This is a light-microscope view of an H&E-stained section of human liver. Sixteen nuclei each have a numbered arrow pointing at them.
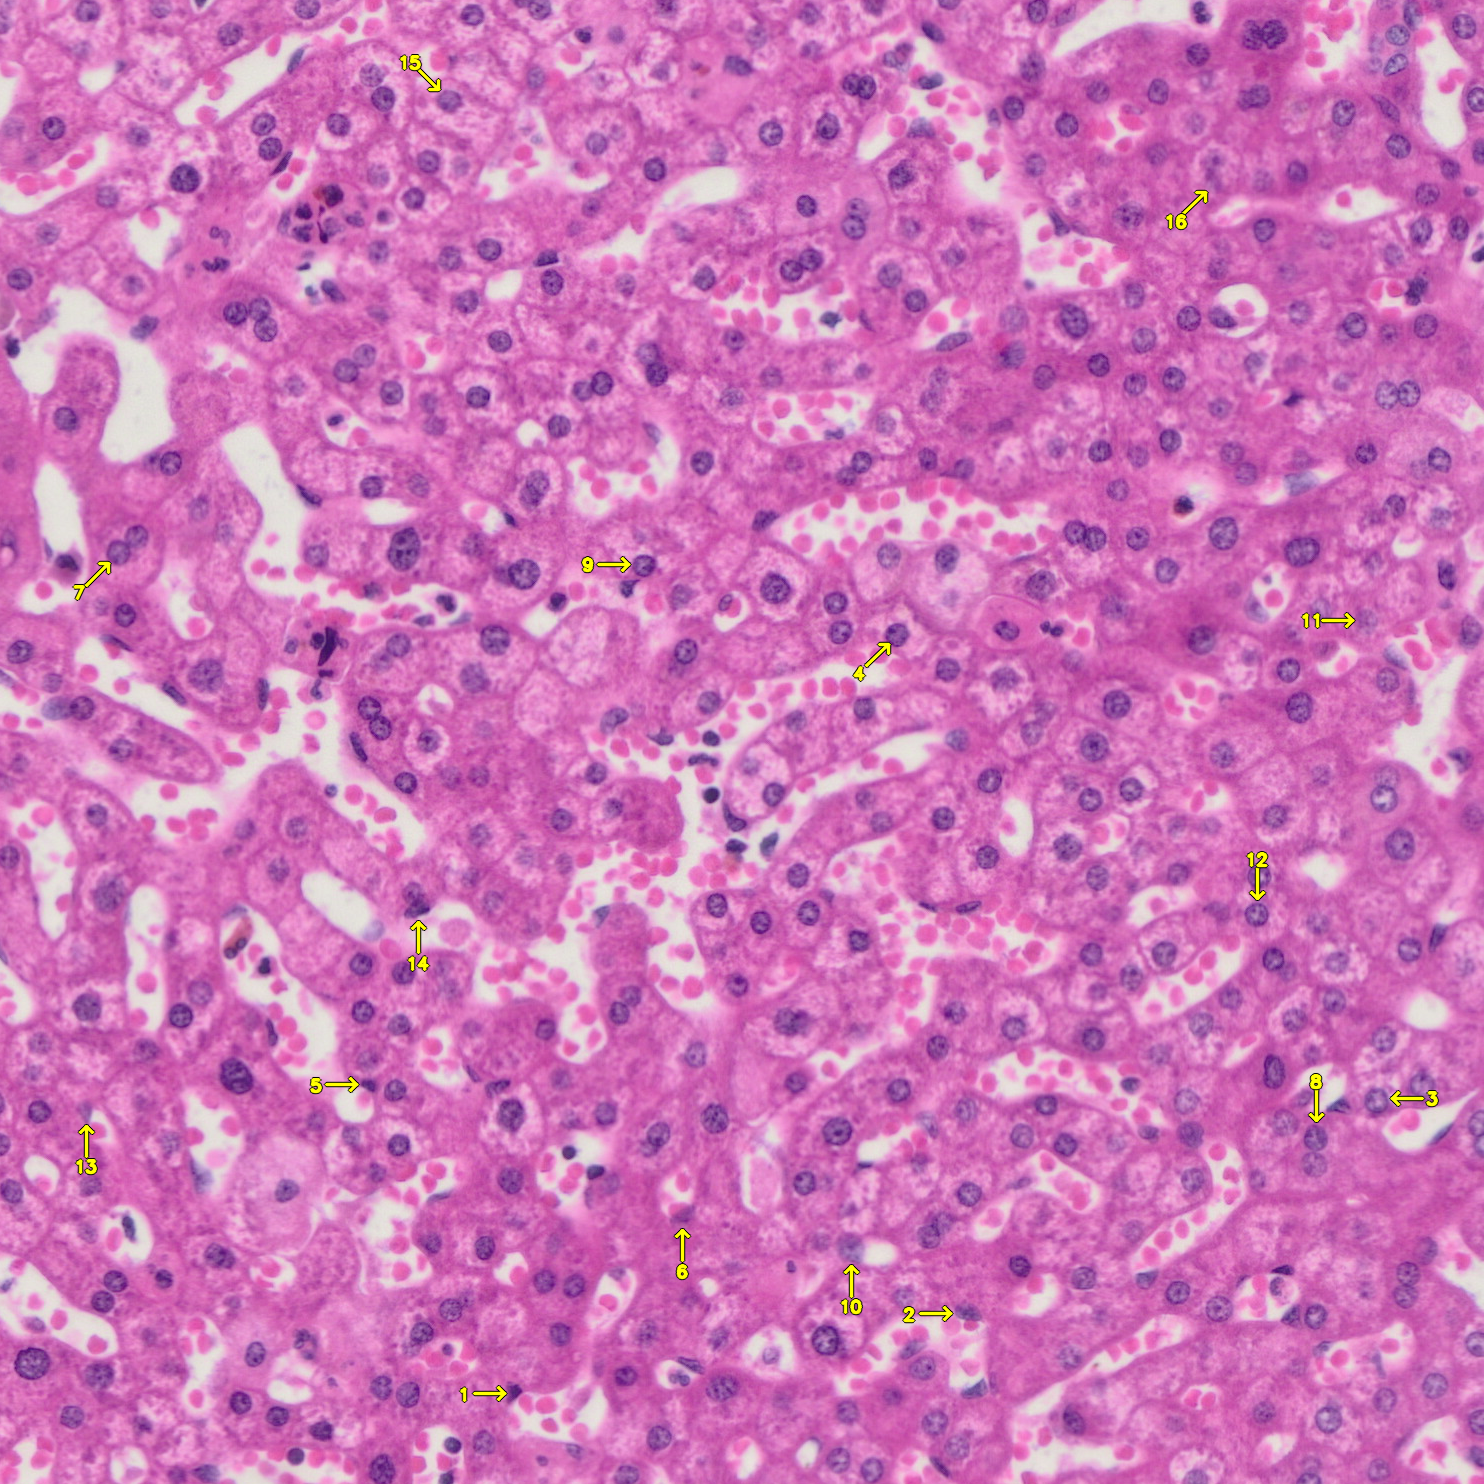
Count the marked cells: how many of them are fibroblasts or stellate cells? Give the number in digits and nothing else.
3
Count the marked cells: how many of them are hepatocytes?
9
